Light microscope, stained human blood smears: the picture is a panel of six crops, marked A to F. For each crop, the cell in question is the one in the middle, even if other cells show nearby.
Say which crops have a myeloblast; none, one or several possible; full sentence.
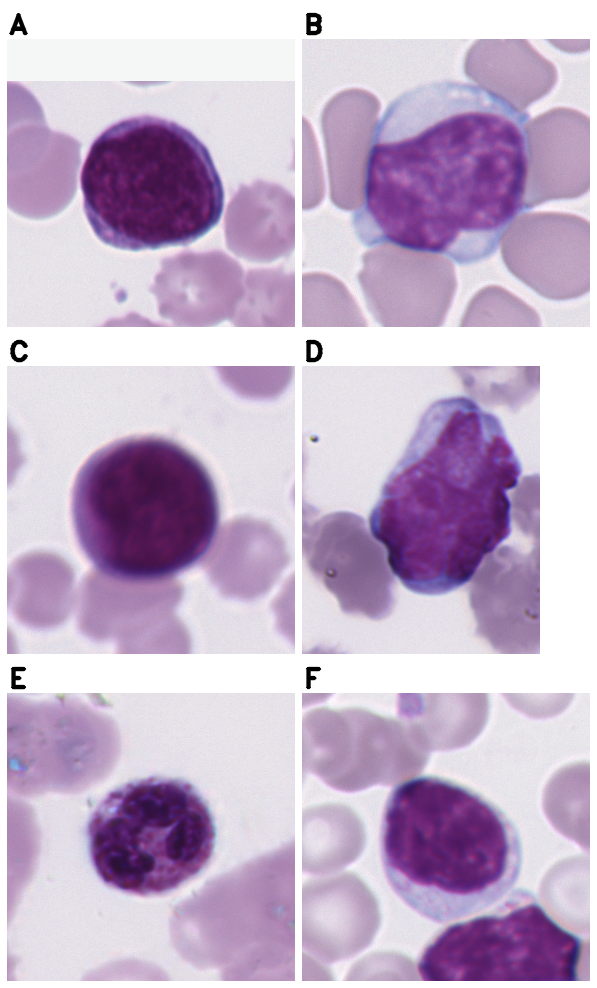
Within this set, crops A, B, C and D show myeloblasts.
